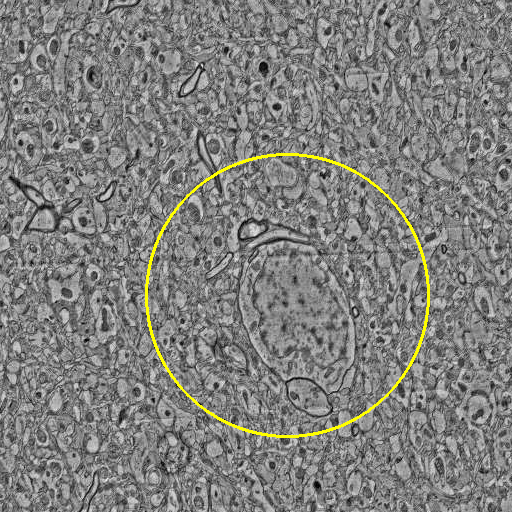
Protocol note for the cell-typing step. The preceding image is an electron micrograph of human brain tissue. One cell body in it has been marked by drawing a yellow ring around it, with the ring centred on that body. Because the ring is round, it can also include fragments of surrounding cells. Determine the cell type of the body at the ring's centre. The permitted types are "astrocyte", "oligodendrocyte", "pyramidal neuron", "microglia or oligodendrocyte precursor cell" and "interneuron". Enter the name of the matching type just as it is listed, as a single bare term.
interneuron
